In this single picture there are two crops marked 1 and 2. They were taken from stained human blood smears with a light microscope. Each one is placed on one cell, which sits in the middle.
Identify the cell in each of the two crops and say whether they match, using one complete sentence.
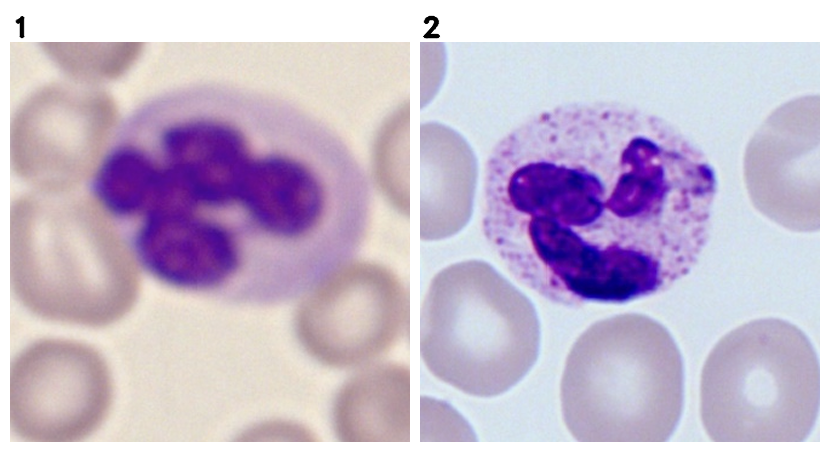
No, crop 1 is where a monocyte is, and crop 2 is where a segmented neutrophil is.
